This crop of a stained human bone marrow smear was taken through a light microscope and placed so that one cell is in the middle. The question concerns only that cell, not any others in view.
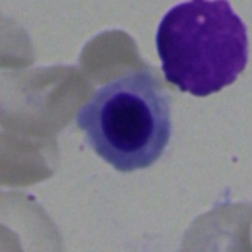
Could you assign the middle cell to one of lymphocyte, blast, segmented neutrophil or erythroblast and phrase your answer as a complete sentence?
The crop shows an erythroblast in its centre.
